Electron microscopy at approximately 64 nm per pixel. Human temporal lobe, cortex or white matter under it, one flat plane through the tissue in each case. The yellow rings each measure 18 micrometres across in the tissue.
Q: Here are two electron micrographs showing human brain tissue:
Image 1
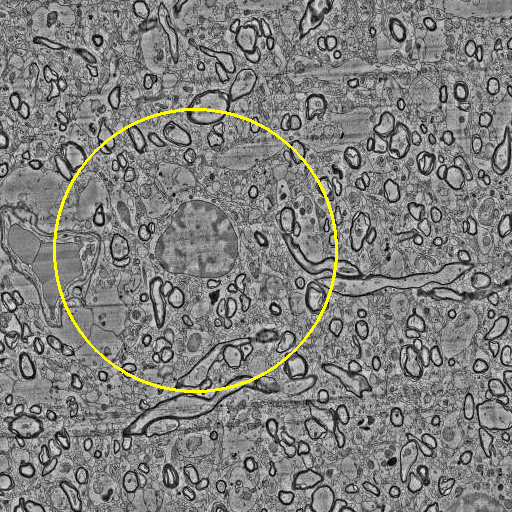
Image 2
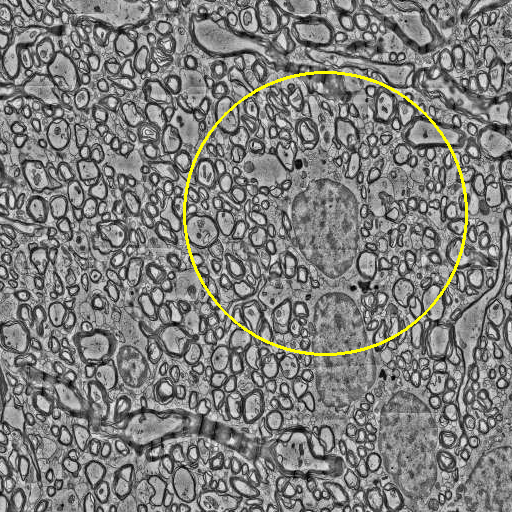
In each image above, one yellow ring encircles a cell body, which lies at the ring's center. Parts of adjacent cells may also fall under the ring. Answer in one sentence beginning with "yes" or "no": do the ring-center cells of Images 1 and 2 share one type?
No, in Images 1 and 2, the ring-center cells are of two types.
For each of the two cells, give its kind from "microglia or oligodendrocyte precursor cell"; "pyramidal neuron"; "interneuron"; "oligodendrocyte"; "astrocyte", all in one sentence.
The first picture has a microglial cell or oligodendrocyte precursor cell in its ring, the second has an oligodendrocyte.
